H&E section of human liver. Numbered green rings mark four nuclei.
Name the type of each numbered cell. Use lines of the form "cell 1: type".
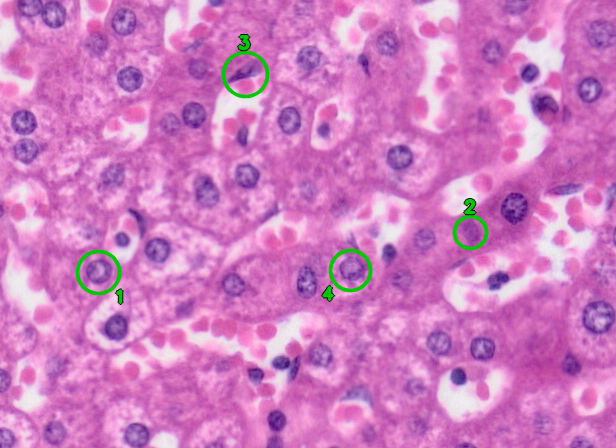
cell 1: hepatocyte
cell 2: hepatocyte
cell 3: endothelial cell
cell 4: hepatocyte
